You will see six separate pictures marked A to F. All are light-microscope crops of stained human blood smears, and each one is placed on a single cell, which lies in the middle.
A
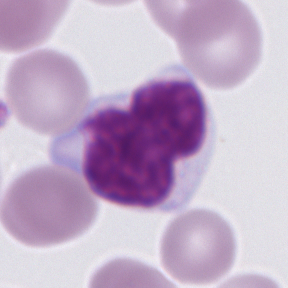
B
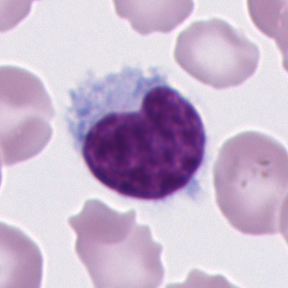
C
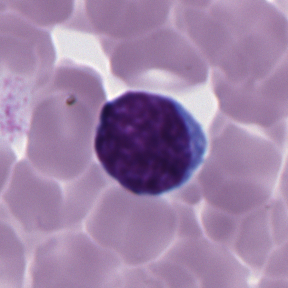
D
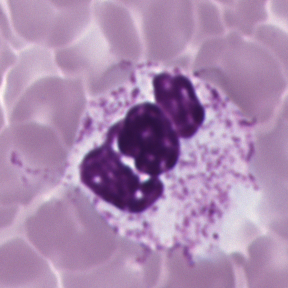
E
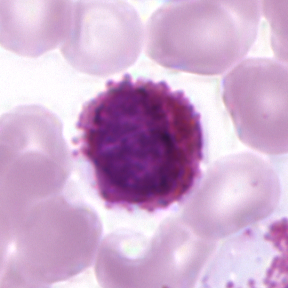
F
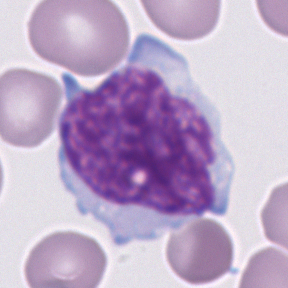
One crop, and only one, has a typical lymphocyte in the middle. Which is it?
C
